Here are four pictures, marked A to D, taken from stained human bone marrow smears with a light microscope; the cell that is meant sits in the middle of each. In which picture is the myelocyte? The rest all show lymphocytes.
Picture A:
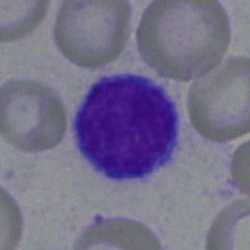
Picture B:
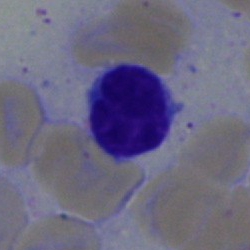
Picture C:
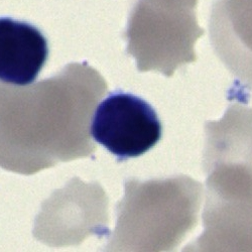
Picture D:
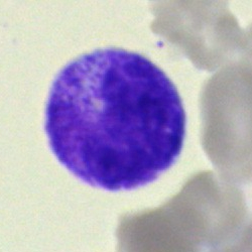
D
